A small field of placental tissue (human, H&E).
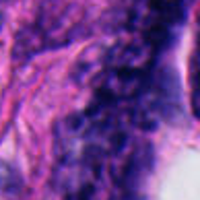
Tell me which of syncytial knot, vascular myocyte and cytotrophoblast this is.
The picture shows a syncytial knot.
